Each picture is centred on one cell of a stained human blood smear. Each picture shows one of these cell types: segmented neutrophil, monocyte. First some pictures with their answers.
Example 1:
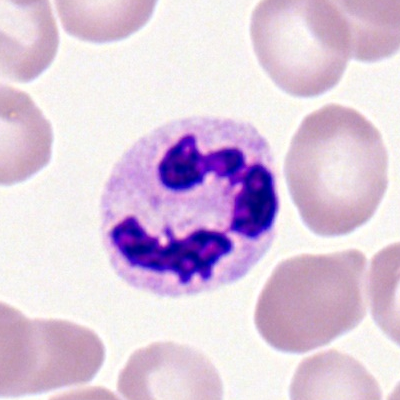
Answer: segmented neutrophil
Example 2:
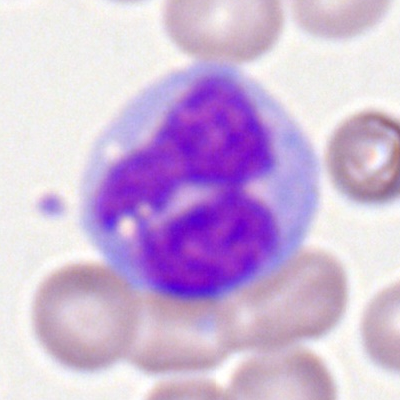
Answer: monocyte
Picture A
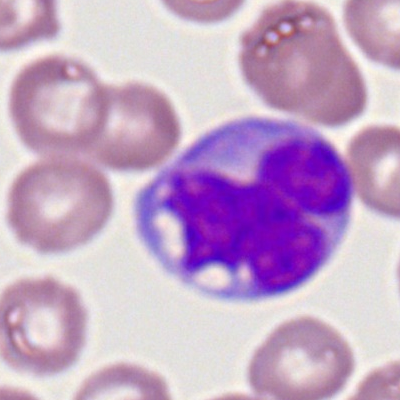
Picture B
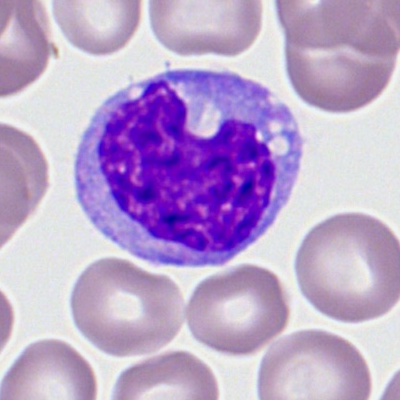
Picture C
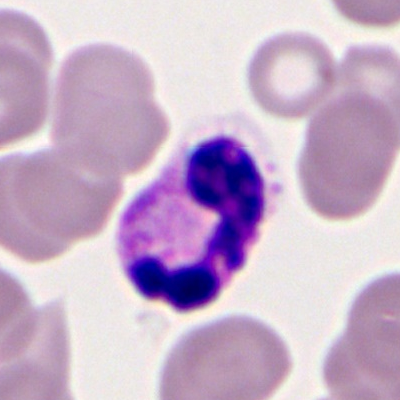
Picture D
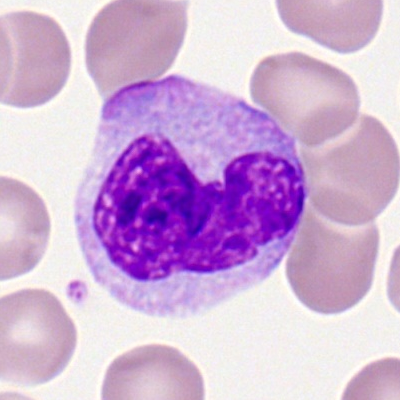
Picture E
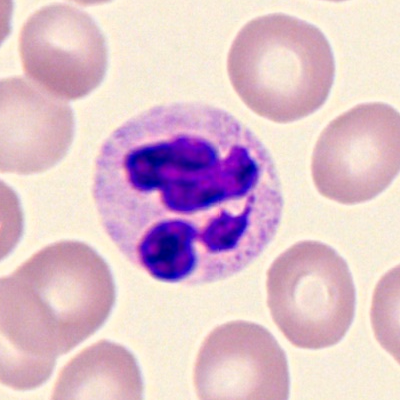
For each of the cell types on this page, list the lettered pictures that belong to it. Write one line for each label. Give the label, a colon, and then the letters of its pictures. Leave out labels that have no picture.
segmented neutrophil: C, E
monocyte: A, B, D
